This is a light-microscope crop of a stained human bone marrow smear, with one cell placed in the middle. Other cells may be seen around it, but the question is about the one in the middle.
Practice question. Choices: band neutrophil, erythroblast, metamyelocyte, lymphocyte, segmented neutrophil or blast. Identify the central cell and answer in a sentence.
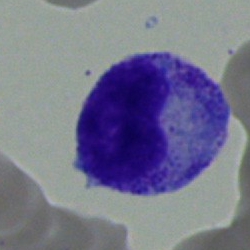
The crop centres on a single cell, and that cell is a metamyelocyte.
